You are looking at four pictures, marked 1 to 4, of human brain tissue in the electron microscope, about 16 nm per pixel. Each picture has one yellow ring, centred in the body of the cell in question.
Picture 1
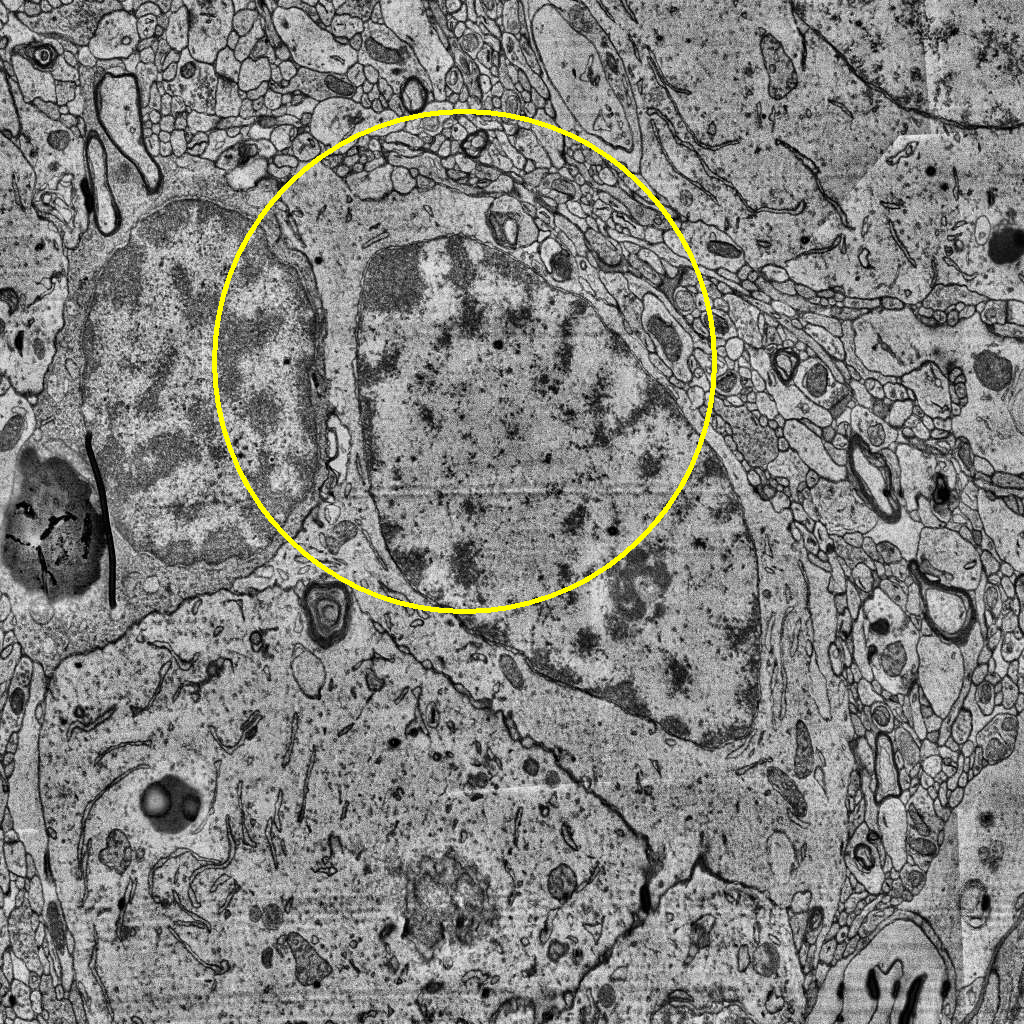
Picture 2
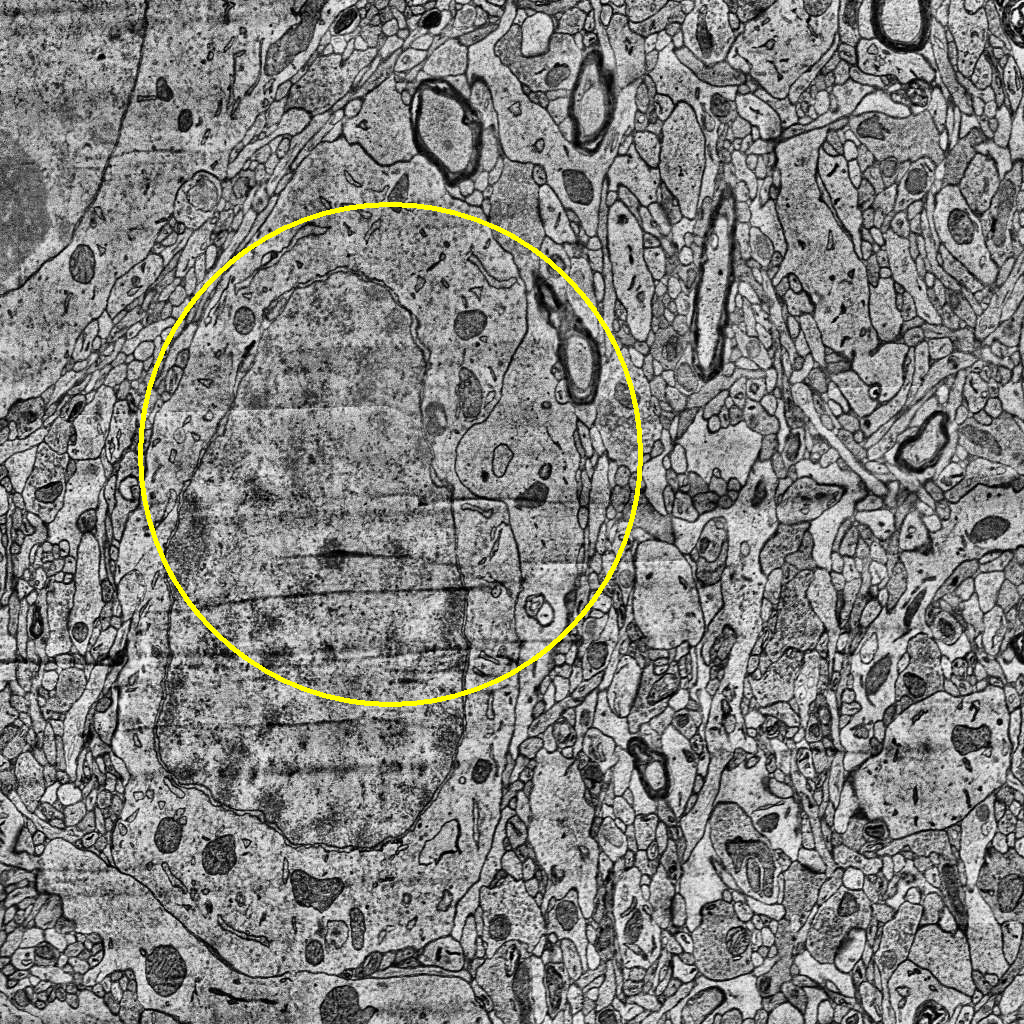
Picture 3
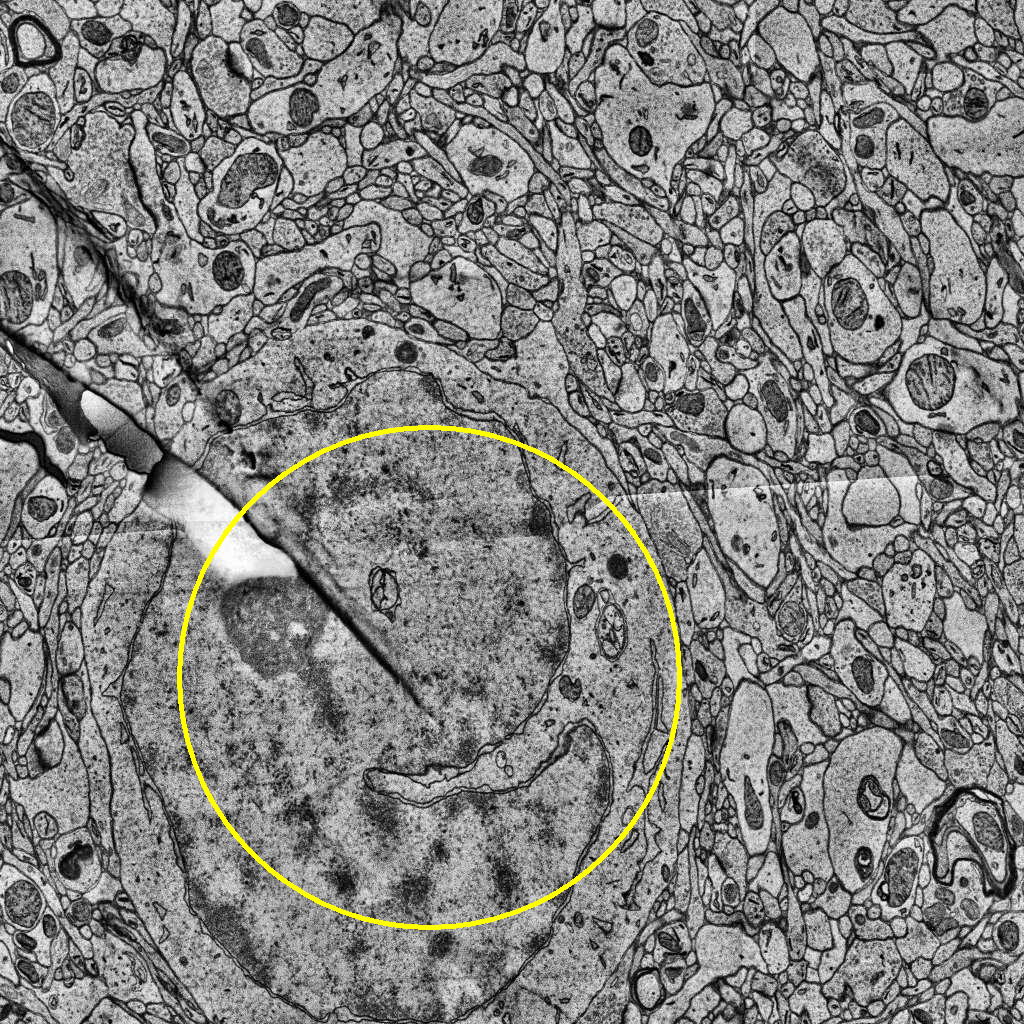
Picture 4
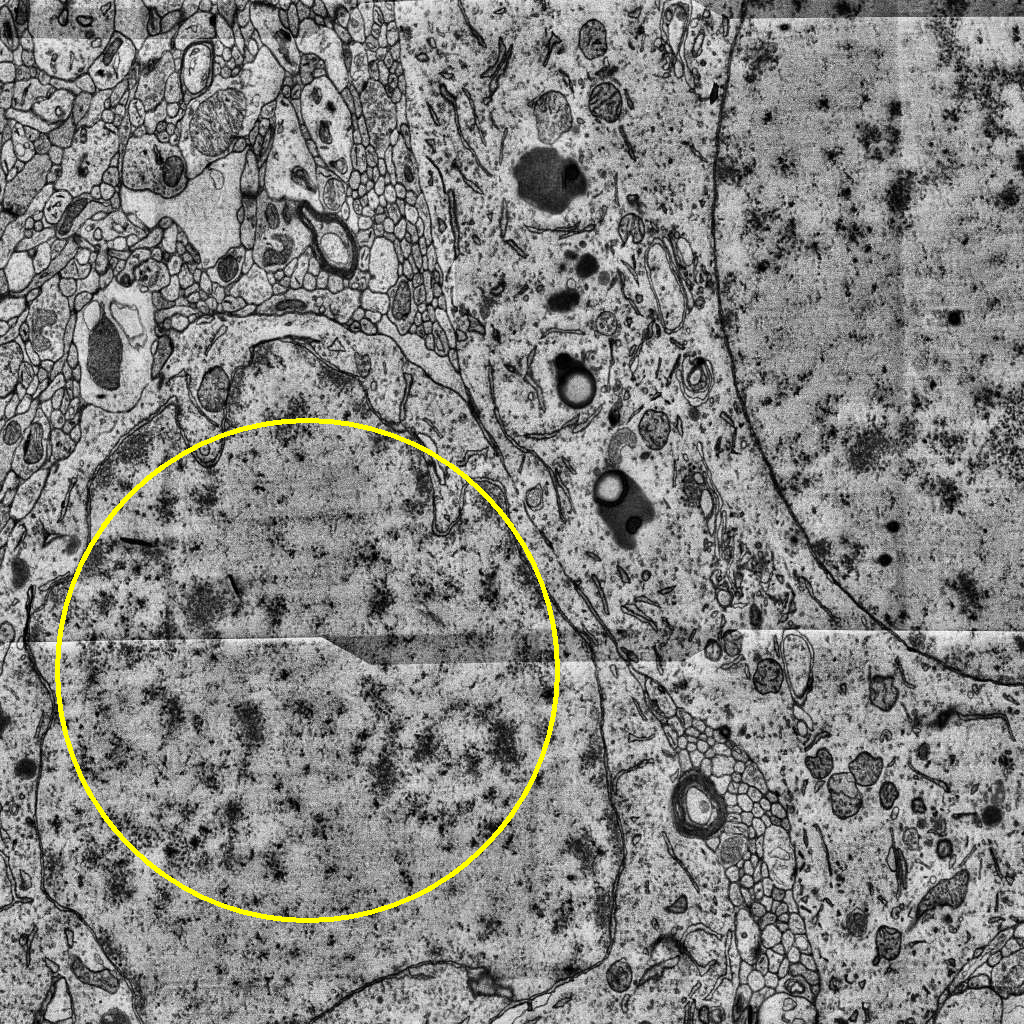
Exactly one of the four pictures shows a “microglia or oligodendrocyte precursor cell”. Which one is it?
Picture 1 shows the “microglia or oligodendrocyte precursor cell”.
